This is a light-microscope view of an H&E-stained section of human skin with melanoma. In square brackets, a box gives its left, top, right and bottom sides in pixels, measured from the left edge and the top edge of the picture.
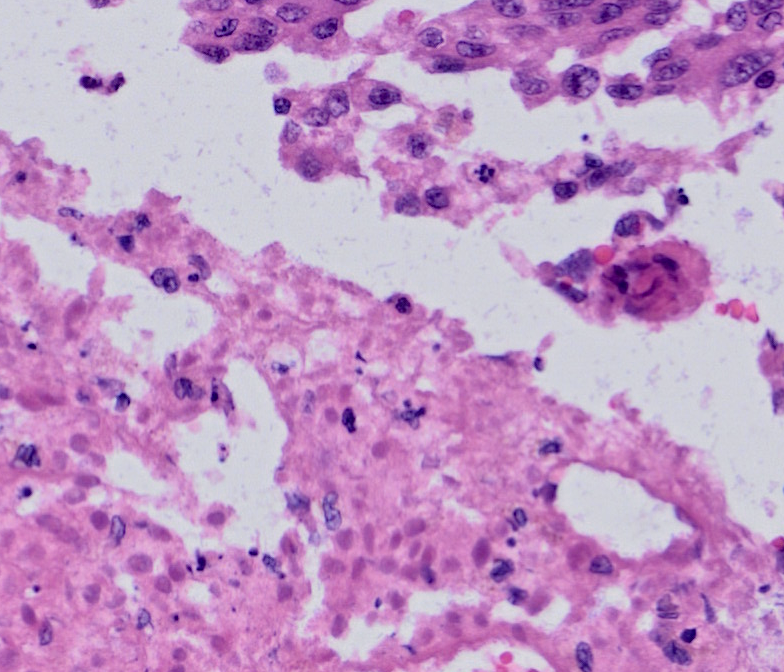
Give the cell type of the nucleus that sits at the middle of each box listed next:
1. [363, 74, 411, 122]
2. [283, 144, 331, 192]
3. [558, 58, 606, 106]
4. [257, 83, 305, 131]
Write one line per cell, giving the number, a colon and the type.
1: melanoma cell
2: melanoma cell
3: melanoma cell
4: lymphocyte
